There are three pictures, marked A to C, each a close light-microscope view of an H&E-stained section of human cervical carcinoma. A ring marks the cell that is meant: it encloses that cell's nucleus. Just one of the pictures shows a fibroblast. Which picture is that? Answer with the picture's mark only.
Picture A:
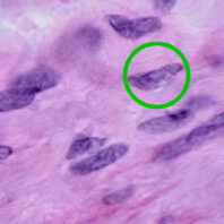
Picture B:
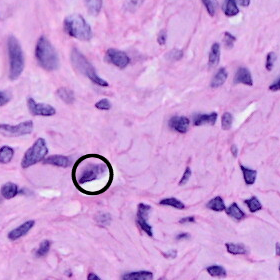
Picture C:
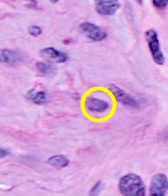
A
